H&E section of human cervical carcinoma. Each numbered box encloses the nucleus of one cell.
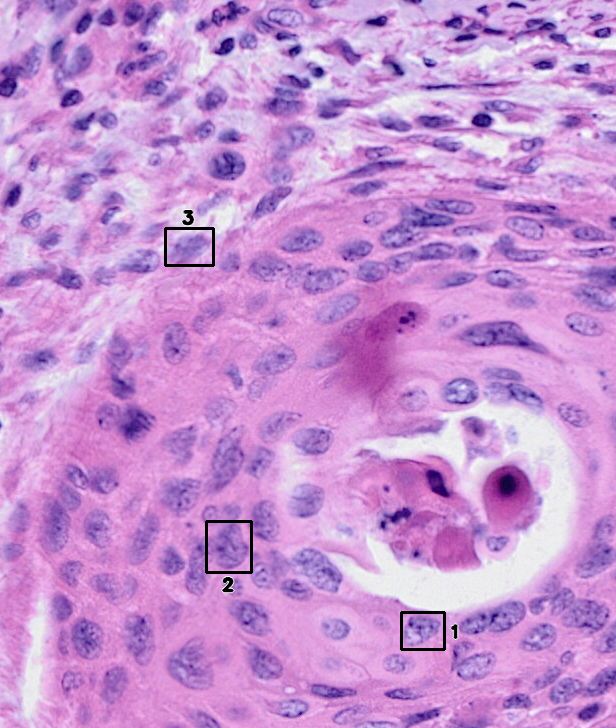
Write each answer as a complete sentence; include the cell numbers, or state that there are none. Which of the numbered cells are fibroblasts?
The numbered cell that is a fibroblast is cell 3, and it is the only one.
